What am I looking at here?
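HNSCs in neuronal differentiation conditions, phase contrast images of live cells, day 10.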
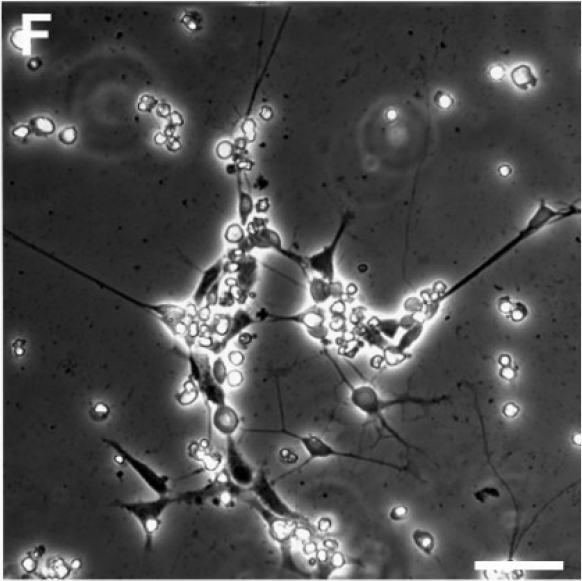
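At the centre many small round, bright refractile bodies are heaped together among the cell bodies, forming an irregular aggregate from which the processes radiate. A few single round bright bodies lie free on the dish away from the cluster. The long processes are straight or gently curved and some branch.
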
